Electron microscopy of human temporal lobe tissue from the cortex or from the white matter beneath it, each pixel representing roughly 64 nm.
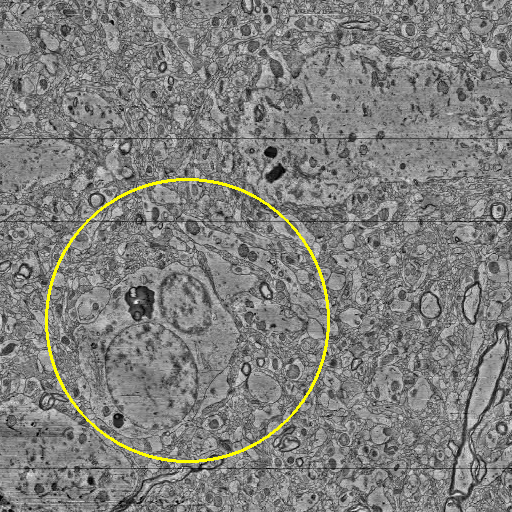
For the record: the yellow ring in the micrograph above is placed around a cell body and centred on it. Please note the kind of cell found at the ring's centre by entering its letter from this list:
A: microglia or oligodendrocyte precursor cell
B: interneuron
B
